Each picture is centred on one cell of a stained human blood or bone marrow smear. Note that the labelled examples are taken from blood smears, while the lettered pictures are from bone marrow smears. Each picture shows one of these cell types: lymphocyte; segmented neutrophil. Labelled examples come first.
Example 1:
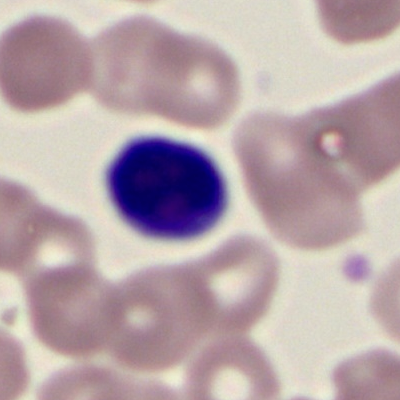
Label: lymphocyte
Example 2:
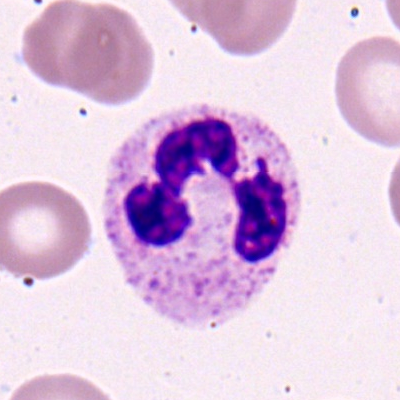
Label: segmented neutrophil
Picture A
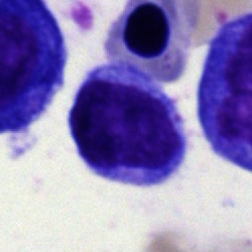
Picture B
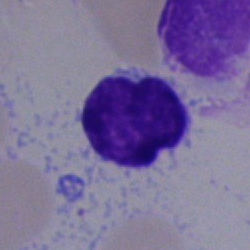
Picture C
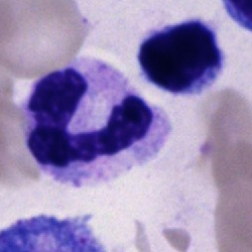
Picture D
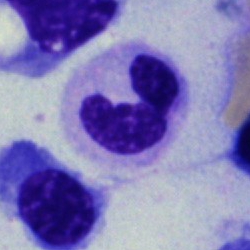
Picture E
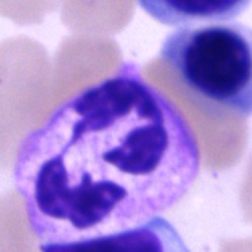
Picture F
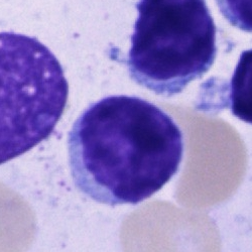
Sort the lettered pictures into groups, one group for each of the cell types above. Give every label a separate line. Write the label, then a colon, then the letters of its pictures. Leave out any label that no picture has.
lymphocyte: A, B, F
segmented neutrophil: C, D, E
